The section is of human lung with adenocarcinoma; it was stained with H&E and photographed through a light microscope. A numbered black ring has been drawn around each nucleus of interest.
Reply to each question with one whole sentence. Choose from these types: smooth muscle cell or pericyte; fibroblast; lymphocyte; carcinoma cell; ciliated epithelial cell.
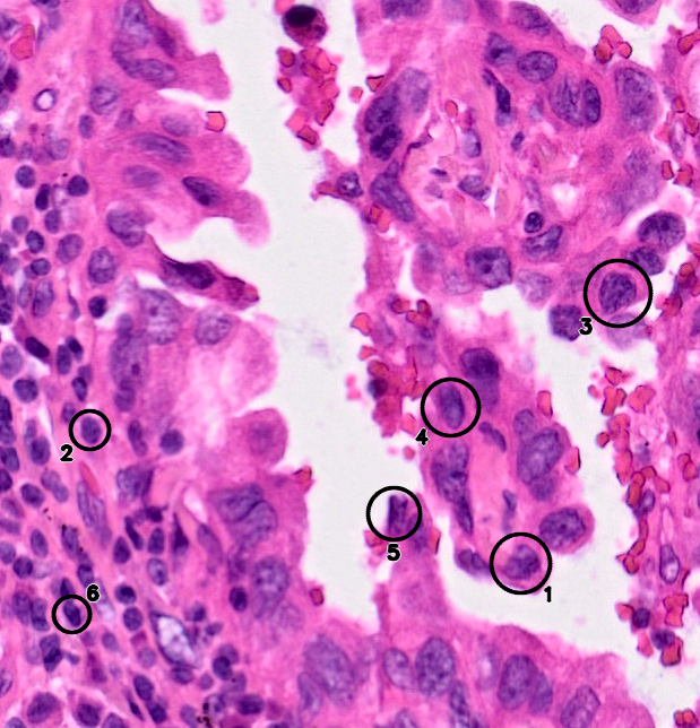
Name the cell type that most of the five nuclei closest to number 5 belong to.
Of the five nuclei nearest to number 5, most belong to carcinoma cells.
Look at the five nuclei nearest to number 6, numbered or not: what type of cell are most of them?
Lymphocytes make up most of the five nuclei closest to number 6.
